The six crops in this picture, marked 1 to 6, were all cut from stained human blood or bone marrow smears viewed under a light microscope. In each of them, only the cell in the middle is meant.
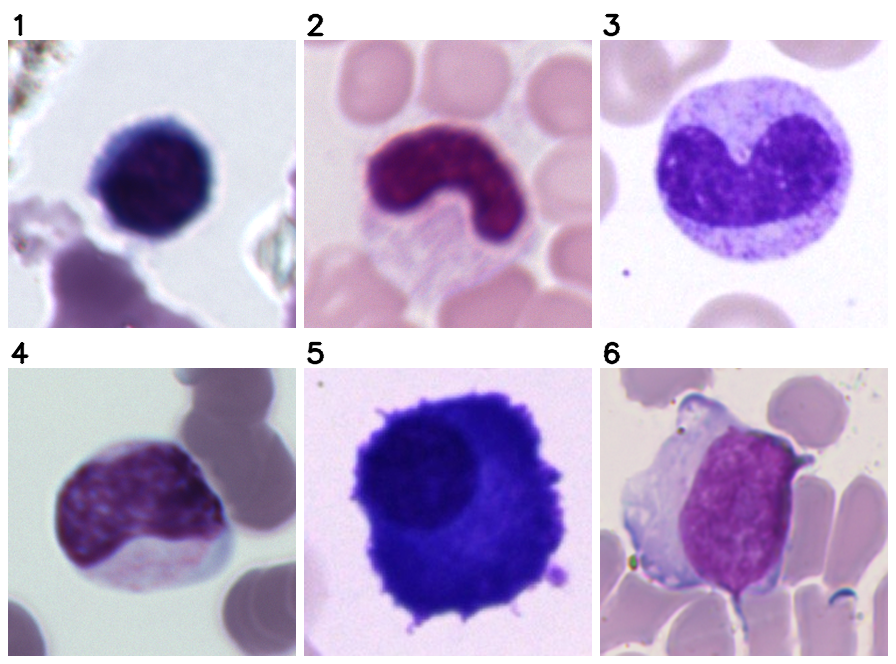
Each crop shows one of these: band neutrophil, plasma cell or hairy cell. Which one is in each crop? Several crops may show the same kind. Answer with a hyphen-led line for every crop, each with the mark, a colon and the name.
- 1: hairy cell
- 2: band neutrophil
- 3: band neutrophil
- 4: band neutrophil
- 5: plasma cell
- 6: plasma cell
